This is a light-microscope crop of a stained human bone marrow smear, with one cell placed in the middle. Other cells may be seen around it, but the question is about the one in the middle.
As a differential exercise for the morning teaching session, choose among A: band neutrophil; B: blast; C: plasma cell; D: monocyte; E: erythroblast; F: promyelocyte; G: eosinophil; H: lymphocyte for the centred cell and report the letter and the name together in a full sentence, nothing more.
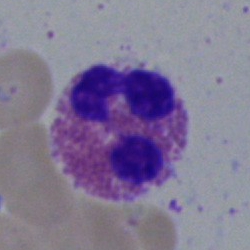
The centrally positioned cell is an eosinophil, consistent with option G, which is correct.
